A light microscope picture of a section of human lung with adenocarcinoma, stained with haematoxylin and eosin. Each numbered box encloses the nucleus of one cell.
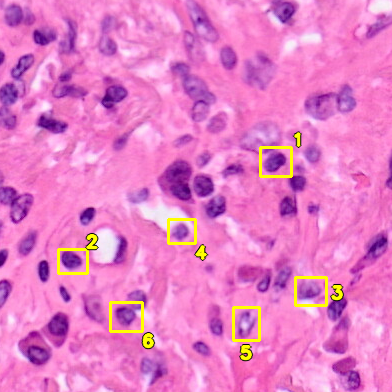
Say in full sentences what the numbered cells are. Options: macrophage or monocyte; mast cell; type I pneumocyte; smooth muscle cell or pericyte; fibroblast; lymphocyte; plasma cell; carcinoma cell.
Cell 1 is a lymphocyte, cell 2 is a lymphocyte, cell 3 is a fibroblast, cell 4 is a lymphocyte, cell 5 is a fibroblast and cell 6 is a lymphocyte.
